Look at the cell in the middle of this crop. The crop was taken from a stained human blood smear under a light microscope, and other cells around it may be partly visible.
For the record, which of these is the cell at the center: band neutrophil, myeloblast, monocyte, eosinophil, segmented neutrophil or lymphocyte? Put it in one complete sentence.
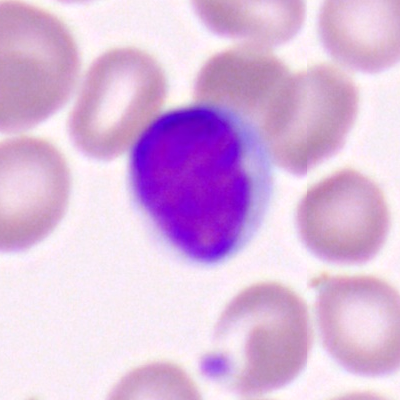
The cell under consideration, at the middle of the crop, is a lymphocyte.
